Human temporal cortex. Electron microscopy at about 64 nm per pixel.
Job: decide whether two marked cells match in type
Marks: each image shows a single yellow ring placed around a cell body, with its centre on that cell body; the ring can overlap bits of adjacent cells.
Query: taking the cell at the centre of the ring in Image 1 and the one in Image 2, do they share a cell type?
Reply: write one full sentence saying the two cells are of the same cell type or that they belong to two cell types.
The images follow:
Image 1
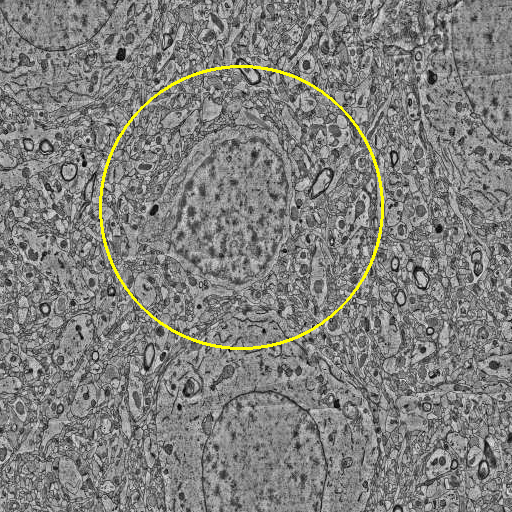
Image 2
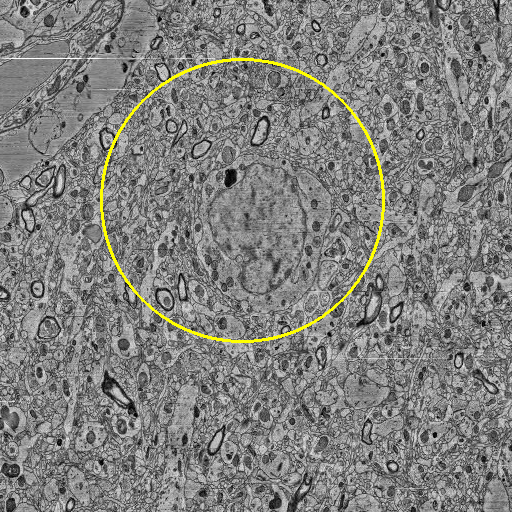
The cells at the ring centres in Image 1 and Image 2 are of the same cell type.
